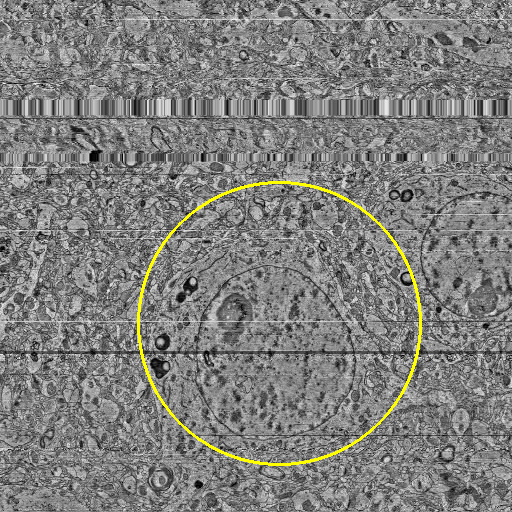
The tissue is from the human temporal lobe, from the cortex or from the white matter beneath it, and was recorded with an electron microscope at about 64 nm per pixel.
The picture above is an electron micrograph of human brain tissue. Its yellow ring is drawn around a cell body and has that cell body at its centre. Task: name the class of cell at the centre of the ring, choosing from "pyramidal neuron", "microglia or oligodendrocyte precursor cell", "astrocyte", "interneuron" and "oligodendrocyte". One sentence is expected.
The ring surrounds the body of a pyramidal neuron.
